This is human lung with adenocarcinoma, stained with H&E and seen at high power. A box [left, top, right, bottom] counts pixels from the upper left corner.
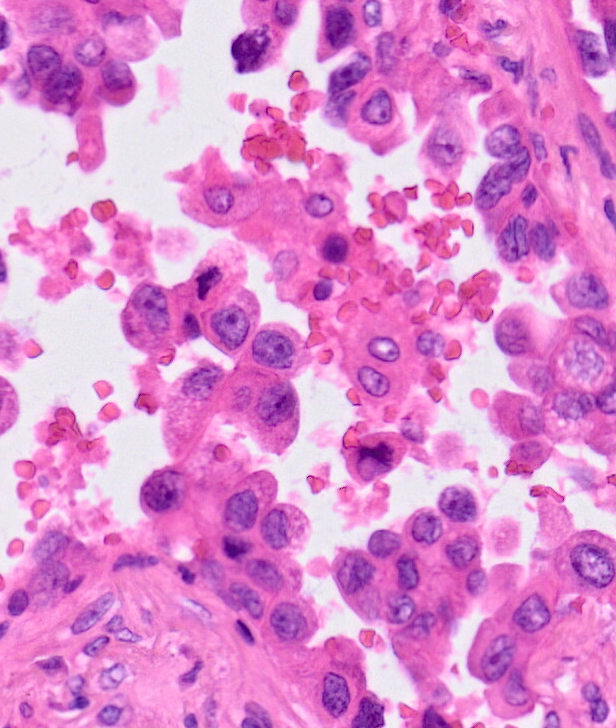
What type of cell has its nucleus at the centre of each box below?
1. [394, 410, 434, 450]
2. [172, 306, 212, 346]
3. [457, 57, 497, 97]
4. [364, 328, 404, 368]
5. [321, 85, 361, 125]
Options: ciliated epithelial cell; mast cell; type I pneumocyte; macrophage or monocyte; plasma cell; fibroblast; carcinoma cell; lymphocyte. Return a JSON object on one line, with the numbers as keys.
{"1": "macrophage or monocyte", "2": "carcinoma cell", "3": "macrophage or monocyte", "4": "macrophage or monocyte", "5": "carcinoma cell"}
